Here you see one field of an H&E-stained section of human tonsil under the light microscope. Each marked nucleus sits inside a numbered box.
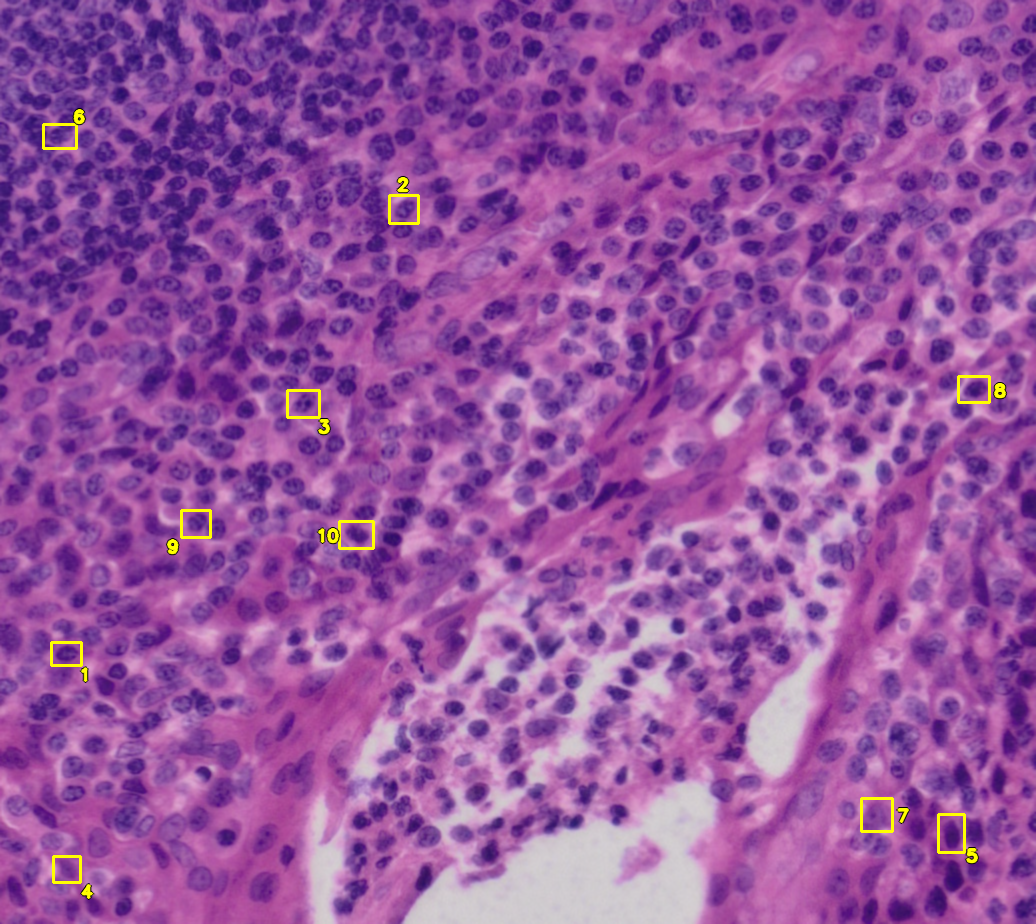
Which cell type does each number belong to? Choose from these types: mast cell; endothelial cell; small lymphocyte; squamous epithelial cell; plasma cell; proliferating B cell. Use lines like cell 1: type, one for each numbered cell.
cell 1: plasma cell
cell 2: plasma cell
cell 3: plasma cell
cell 4: squamous epithelial cell
cell 5: squamous epithelial cell
cell 6: small lymphocyte
cell 7: squamous epithelial cell
cell 8: plasma cell
cell 9: plasma cell
cell 10: plasma cell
